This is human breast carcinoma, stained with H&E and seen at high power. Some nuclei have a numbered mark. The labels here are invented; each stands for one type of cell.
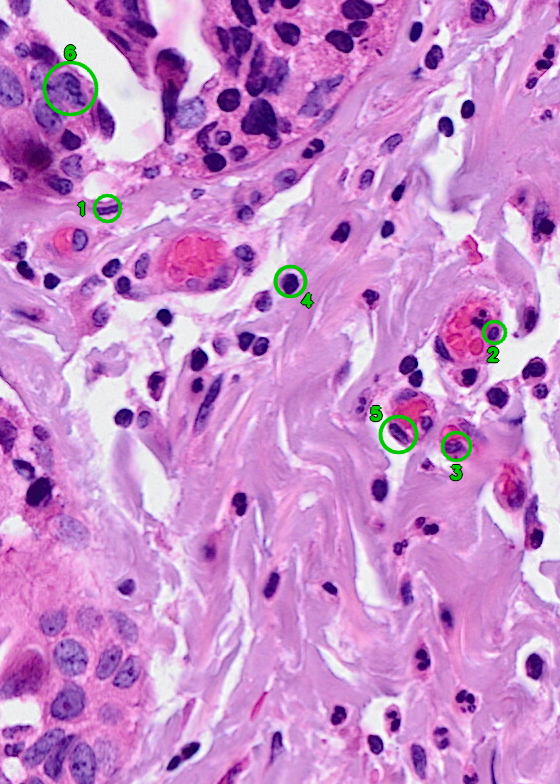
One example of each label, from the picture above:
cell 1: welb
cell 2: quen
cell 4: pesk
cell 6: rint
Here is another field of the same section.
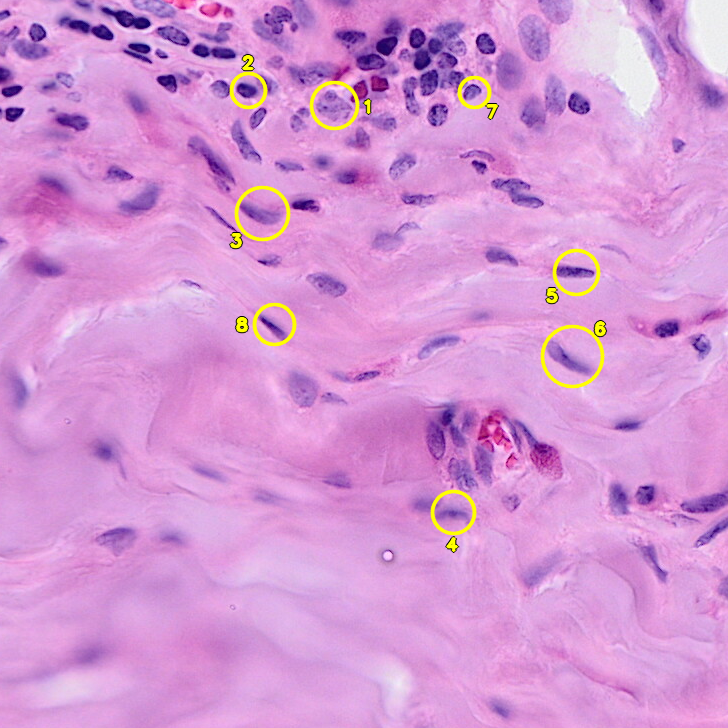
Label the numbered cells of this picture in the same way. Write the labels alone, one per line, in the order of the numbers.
quen
pesk
welb
welb
welb
welb
pesk
welb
